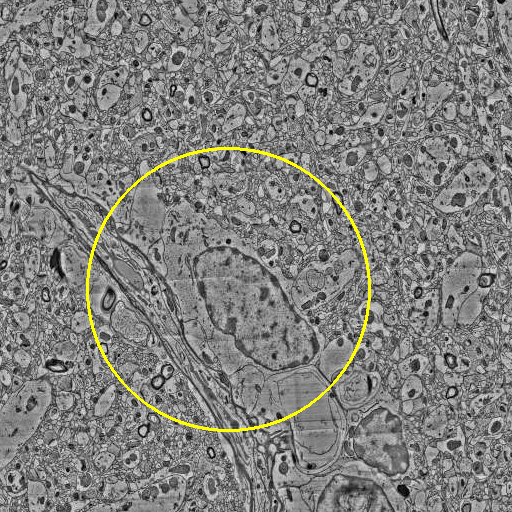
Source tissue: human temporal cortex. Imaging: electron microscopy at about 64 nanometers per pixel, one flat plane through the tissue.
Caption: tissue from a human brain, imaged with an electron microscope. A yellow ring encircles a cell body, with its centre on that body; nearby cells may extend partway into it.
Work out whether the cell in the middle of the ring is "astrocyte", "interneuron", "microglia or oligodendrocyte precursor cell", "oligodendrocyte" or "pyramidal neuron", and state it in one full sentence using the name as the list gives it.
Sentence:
In the picture, the cell that the yellow ring surrounds at its centre is a microglial cell or oligodendrocyte precursor cell.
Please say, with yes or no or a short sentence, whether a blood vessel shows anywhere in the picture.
Yes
